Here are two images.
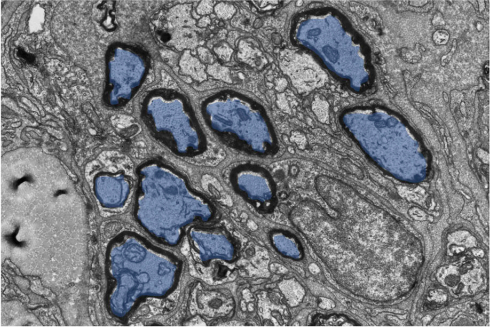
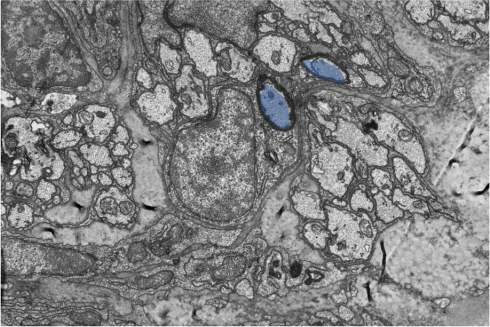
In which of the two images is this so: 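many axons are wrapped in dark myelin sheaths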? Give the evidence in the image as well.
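Second image: only two small profiles carry a thin dark sheath; most axons are bare. That points to this answer: the first image.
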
